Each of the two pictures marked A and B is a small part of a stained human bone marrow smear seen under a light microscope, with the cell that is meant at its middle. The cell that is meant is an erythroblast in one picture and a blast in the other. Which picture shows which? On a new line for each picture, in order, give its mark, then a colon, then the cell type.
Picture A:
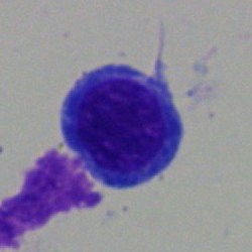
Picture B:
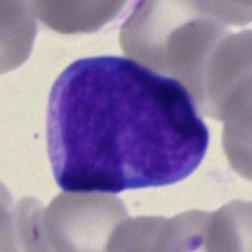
A: erythroblast
B: blast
